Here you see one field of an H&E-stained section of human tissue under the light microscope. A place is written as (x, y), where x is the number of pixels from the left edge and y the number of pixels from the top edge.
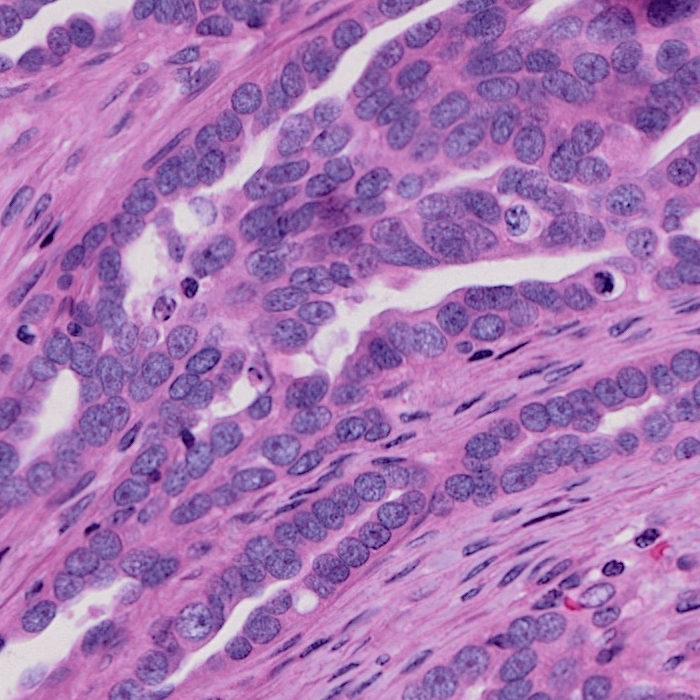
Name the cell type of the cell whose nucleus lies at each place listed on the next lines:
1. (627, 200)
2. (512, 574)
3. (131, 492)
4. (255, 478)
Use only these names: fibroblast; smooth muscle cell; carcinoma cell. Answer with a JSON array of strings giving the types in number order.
["carcinoma cell", "fibroblast", "carcinoma cell", "carcinoma cell"]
